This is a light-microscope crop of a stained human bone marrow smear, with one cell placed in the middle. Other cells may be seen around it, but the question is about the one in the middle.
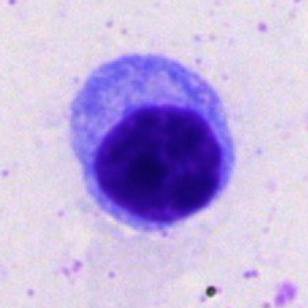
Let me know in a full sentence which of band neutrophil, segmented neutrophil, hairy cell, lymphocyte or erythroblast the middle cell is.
The central cell shown in this smear crop is a lymphocyte.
